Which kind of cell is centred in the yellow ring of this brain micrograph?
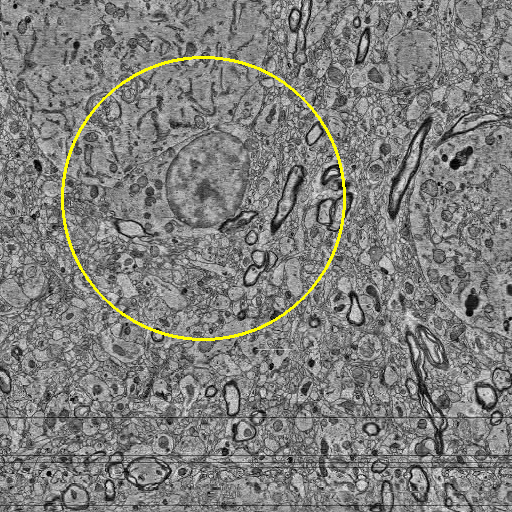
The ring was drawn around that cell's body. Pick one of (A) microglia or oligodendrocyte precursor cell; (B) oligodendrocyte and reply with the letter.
B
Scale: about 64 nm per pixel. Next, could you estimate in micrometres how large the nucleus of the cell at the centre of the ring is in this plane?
In this plane the nucleus measures roughly 7 by 5 micrometers.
